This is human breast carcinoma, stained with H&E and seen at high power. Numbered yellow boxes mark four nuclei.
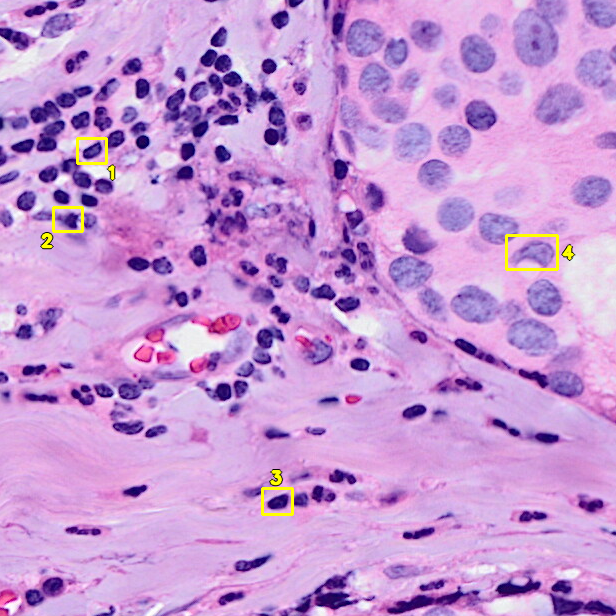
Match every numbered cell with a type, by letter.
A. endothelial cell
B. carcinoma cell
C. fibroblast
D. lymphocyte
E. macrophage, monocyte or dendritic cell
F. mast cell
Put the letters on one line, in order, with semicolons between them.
D; D; D; B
